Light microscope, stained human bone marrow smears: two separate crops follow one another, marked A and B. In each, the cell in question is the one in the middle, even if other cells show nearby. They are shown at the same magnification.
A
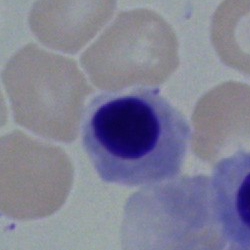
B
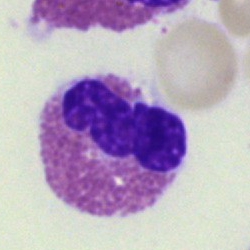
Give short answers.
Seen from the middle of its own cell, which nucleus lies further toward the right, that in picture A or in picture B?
B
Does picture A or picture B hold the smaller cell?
A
